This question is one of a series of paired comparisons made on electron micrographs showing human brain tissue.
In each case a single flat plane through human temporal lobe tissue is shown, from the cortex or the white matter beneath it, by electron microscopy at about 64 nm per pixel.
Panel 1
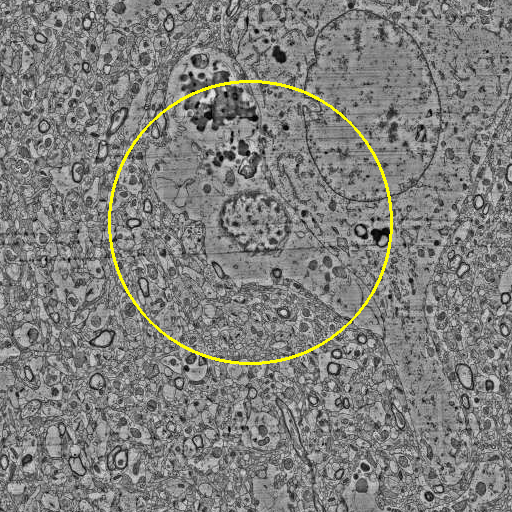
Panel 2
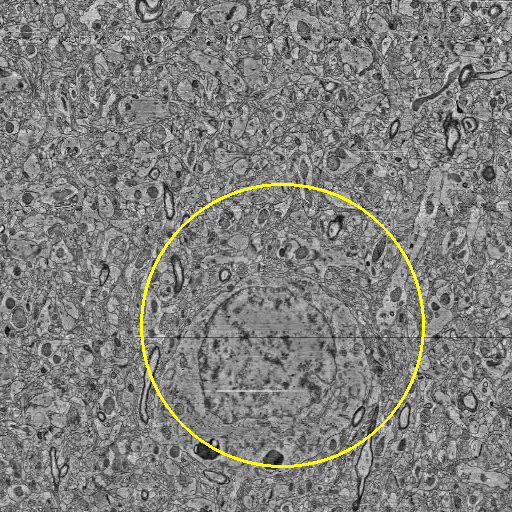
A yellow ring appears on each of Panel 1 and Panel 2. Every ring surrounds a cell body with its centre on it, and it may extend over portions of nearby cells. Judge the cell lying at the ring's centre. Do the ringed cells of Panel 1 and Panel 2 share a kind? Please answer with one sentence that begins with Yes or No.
No, the ring-centre cell in Panel 1 and the one in Panel 2 are of two kinds.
